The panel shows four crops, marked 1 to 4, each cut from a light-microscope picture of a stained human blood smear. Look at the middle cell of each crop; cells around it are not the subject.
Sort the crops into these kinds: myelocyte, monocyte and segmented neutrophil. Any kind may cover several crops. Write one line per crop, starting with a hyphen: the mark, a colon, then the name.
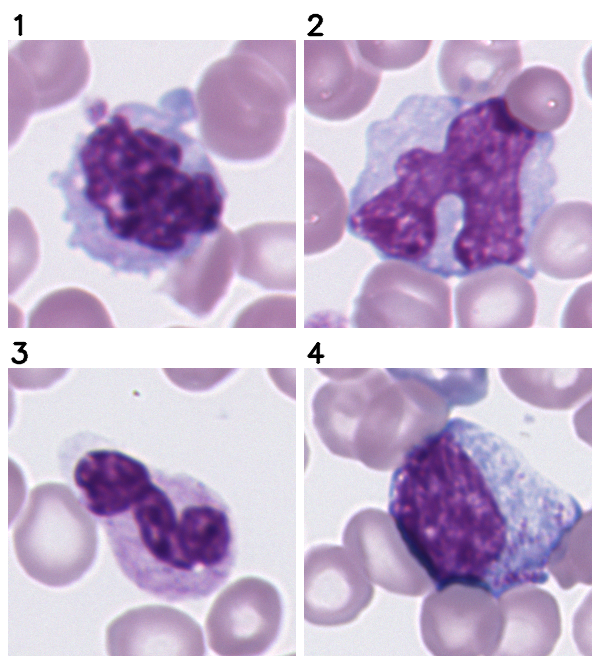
- 1: monocyte
- 2: monocyte
- 3: segmented neutrophil
- 4: myelocyte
